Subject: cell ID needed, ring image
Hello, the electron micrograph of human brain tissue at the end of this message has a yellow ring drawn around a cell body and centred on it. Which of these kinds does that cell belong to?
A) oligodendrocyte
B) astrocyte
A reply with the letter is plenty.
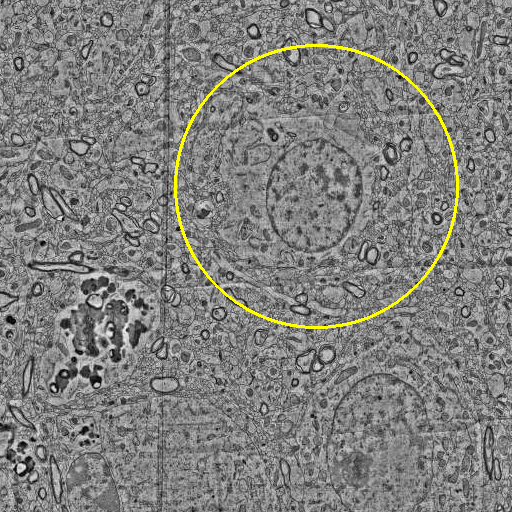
B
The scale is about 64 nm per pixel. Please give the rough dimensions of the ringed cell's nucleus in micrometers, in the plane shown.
In this plane, the nucleus of the cell at the centre of the ring measures about 7 by 6 micrometres.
